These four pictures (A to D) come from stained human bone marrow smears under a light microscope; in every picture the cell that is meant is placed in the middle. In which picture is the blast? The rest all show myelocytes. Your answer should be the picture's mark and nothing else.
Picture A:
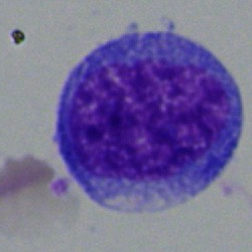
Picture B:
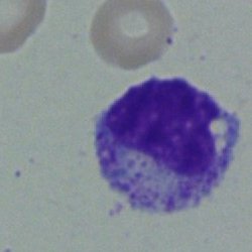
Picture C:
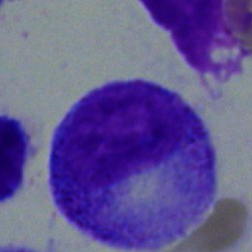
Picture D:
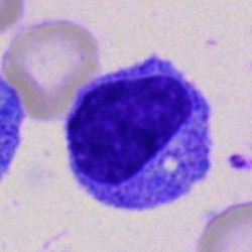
A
